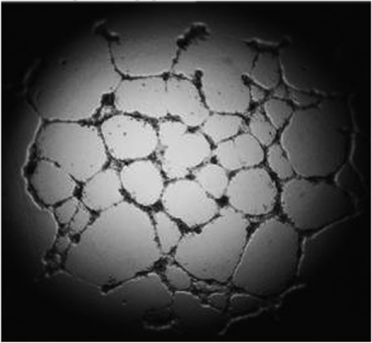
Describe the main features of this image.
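Endothelial cells on a gel matrix have organized into a dense network of thin, cord-like vessel-like tubes that enclose many small polygonal meshes. Darker clusters of cells sit at the branch points where several cords meet, and a few small clumps lie free in the spaces.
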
